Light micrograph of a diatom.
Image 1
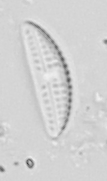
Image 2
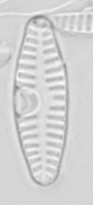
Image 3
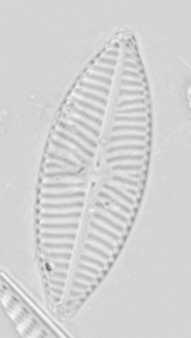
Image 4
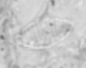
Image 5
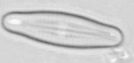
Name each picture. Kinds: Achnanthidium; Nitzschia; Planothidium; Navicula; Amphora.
1. Amphora
2. Planothidium
3. Navicula
4. Nitzschia
5. Achnanthidium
